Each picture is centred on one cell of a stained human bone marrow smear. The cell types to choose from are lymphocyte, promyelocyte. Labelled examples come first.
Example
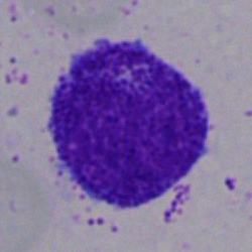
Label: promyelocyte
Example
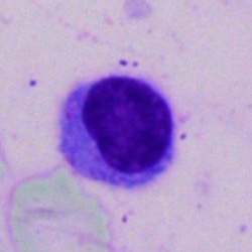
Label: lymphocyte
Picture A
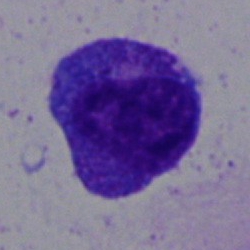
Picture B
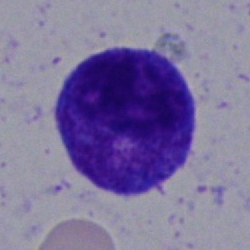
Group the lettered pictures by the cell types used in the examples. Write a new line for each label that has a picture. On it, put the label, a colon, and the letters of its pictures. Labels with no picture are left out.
promyelocyte: A, B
